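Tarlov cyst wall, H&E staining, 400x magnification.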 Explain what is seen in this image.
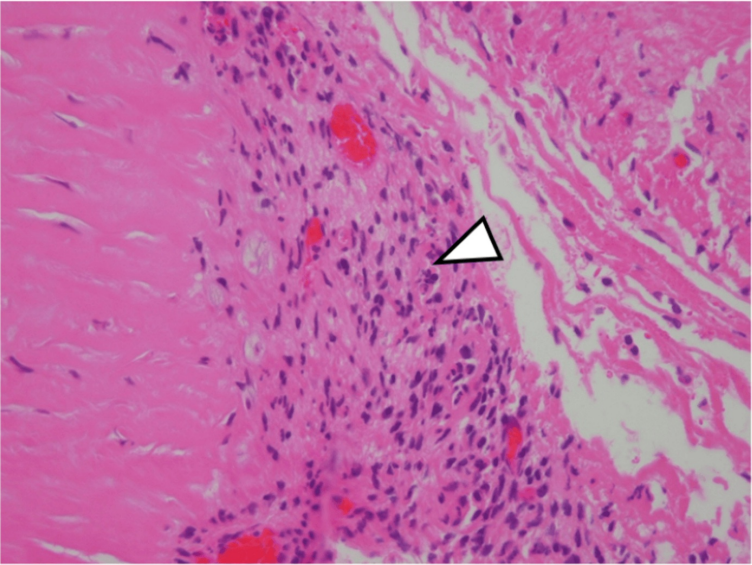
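On one side lies dense, pale-pink fibrous collagen with sparse, thin, elongated nuclei. Small blood vessels packed with bright red blood cells lie within the cellular band, and looser, torn connective tissue extends to the other side.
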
